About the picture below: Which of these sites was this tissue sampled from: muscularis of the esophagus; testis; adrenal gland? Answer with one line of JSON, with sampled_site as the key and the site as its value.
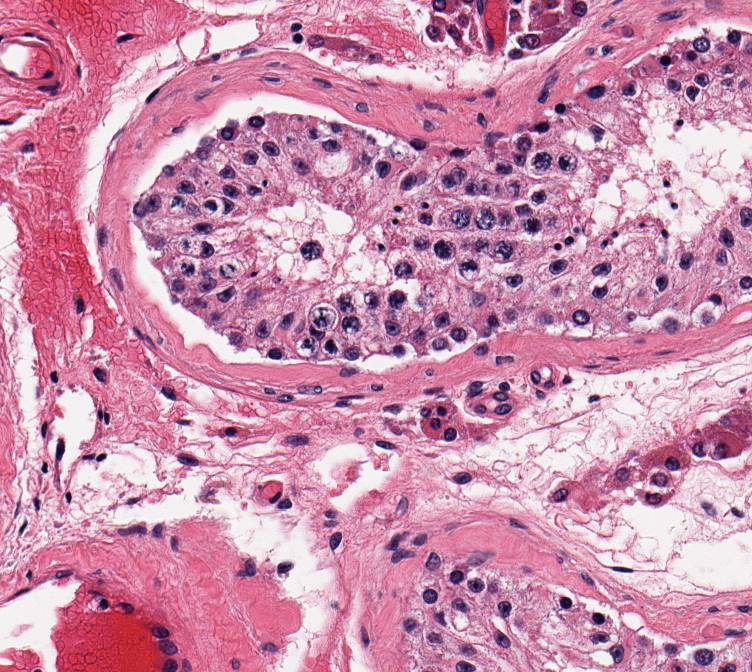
{"sampled_site": "testis"}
